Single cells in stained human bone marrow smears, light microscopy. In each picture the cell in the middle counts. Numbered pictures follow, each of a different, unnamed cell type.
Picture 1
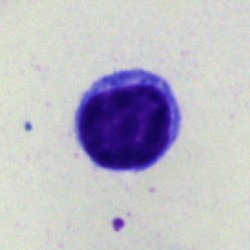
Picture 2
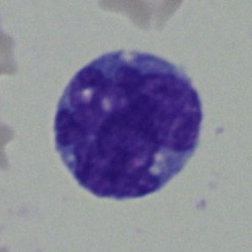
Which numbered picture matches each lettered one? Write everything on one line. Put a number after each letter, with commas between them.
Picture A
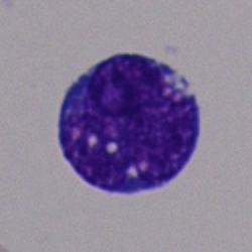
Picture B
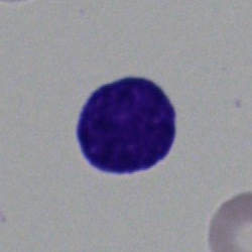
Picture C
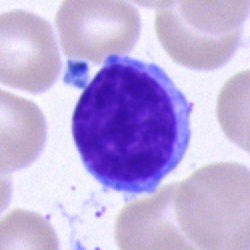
A 2, B 2, C 1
